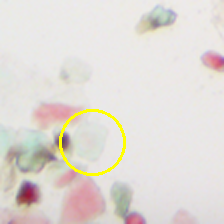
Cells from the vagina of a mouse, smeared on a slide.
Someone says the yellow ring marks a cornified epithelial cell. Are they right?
They are right: it is a cornified epithelial cell.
